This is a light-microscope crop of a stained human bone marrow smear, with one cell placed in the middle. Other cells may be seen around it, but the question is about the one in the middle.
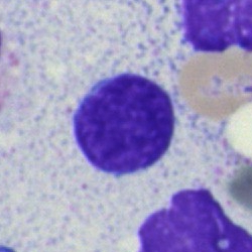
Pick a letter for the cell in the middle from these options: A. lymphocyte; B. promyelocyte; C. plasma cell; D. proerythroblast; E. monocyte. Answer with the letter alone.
A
